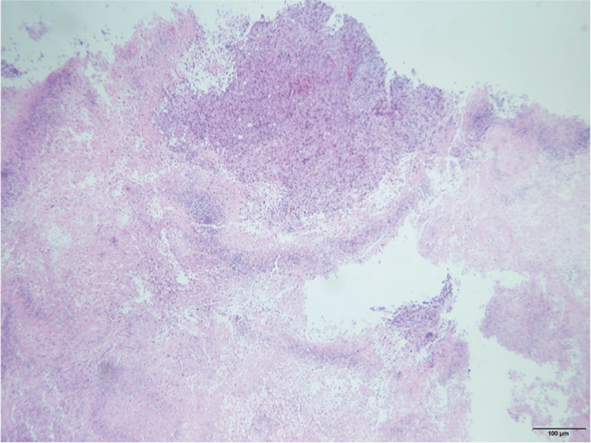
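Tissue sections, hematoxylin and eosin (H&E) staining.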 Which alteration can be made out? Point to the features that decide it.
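Large pale pink, amorphous areas with few nuclei. Tissue is fragmented with loose, debris-like texture.
Conclusion: necrosis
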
